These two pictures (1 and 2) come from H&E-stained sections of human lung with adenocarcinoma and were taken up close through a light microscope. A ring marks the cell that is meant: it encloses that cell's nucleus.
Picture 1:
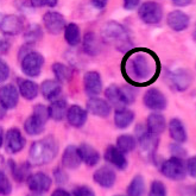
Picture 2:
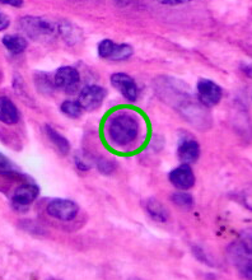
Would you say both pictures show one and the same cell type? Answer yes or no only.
no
